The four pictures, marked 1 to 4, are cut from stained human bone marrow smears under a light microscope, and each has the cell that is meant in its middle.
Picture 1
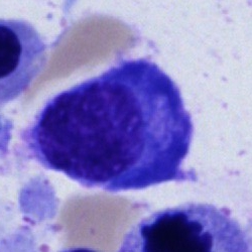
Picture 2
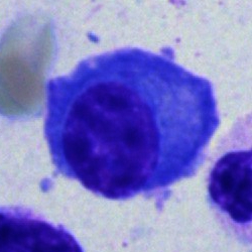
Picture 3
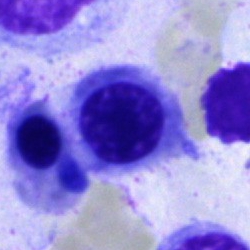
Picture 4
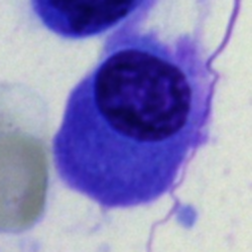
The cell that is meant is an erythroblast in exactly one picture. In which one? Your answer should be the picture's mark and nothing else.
3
